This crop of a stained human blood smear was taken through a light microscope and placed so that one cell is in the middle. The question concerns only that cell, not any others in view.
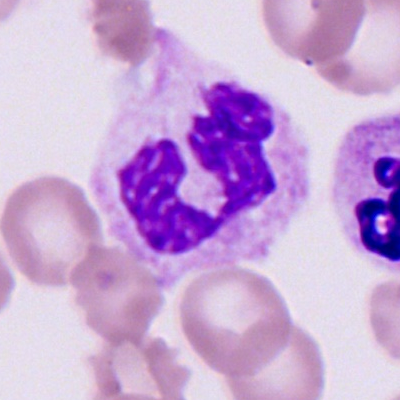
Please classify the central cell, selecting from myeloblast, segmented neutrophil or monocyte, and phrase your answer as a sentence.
What sits at the centre of this crop is a segmented neutrophil.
